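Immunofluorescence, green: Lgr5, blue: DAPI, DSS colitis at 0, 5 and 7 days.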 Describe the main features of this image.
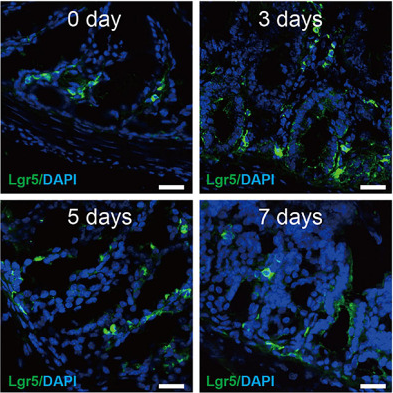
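Colonic mucosa with crypts seen in longitudinal and cross section is shown in four fields, with nuclei stained blue. The crypt epithelium is formed by densely packed oval nuclei around narrow dark lumina, with looser tissue between the crypts. Green fluorescence fills the cytoplasm of scattered single cells within the crypt epithelium, appearing as small bright irregular bodies beside blue nuclei rather than over whole crypts. The number of green cells differs between the fields, being most numerous in one of them. Some green signal also runs as thin streaks in the tissue beneath the crypts.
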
